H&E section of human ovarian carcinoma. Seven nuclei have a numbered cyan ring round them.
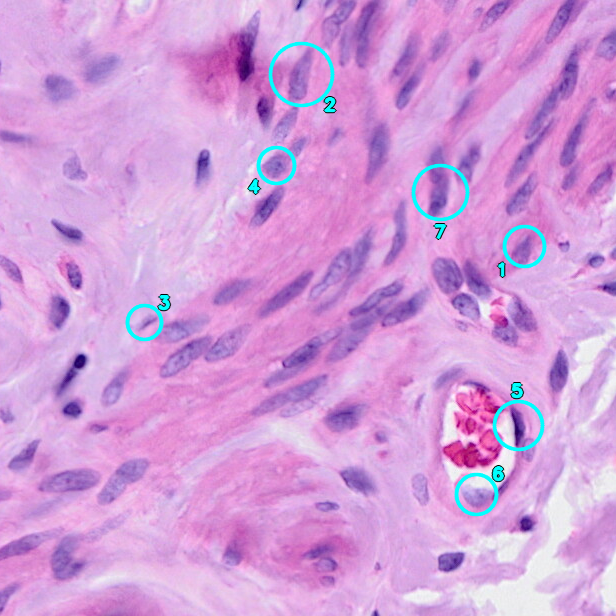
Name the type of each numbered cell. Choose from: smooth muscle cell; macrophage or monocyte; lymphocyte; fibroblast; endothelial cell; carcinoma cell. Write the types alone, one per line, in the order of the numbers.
smooth muscle cell
smooth muscle cell
fibroblast
smooth muscle cell
endothelial cell
endothelial cell
smooth muscle cell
